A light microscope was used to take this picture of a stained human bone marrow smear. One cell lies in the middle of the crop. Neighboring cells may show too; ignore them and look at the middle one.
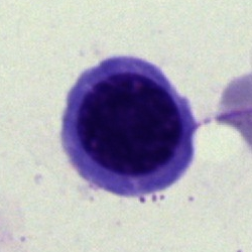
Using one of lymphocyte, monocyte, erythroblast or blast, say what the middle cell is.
erythroblast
